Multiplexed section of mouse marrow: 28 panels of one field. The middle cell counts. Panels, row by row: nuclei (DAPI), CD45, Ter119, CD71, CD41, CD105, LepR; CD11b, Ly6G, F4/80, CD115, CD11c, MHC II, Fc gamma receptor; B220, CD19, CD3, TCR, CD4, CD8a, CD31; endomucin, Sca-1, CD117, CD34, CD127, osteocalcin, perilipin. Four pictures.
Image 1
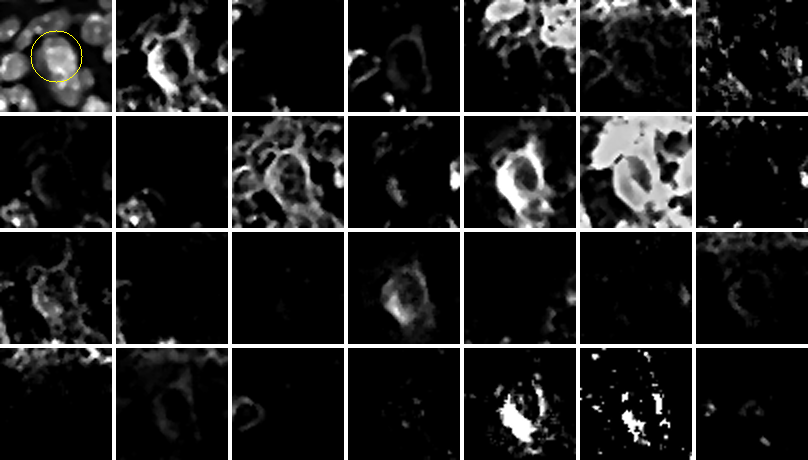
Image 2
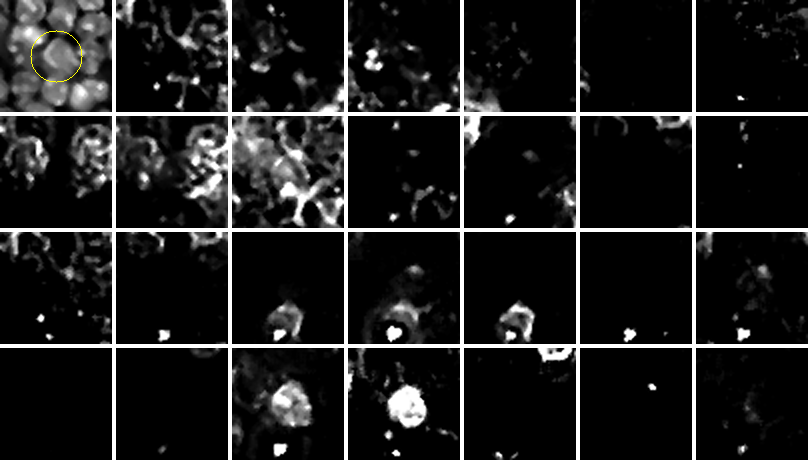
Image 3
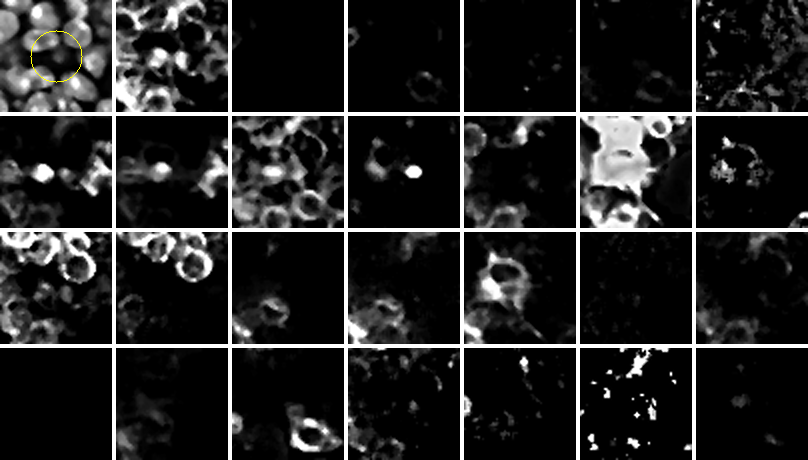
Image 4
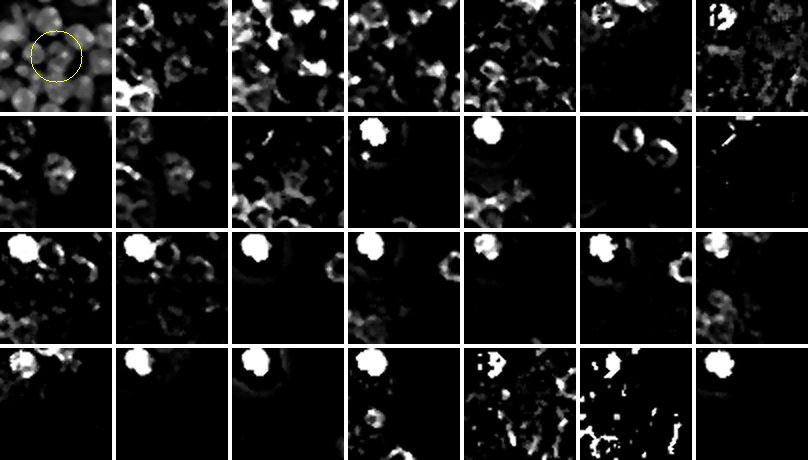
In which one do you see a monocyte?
In picture 3.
